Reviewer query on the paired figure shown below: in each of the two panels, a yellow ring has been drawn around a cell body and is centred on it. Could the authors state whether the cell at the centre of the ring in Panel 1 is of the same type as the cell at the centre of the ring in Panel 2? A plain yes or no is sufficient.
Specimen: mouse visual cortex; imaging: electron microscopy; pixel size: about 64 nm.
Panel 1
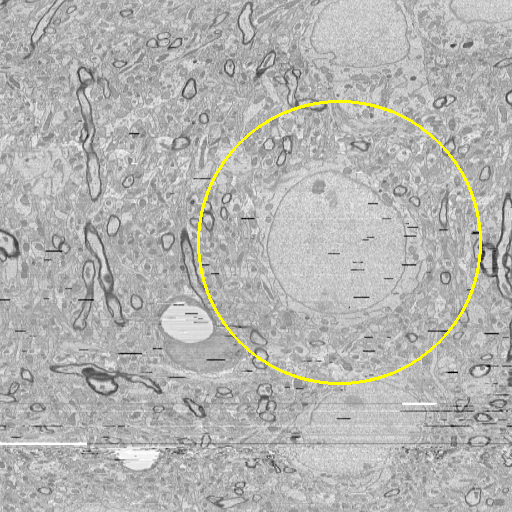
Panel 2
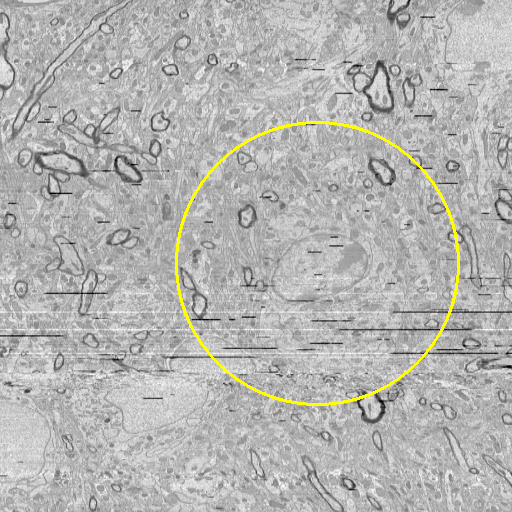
no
